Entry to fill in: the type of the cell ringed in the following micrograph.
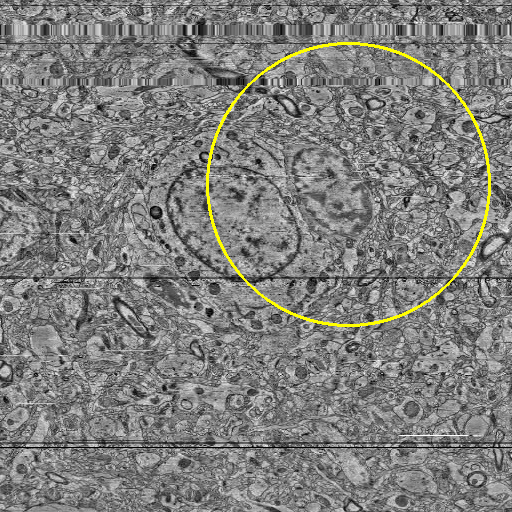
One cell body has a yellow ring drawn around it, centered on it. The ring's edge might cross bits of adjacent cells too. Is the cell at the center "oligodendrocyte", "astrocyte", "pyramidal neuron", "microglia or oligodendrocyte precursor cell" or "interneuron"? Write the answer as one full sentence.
This entry names an oligodendrocyte as the cell whose body lies at the ring's center.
